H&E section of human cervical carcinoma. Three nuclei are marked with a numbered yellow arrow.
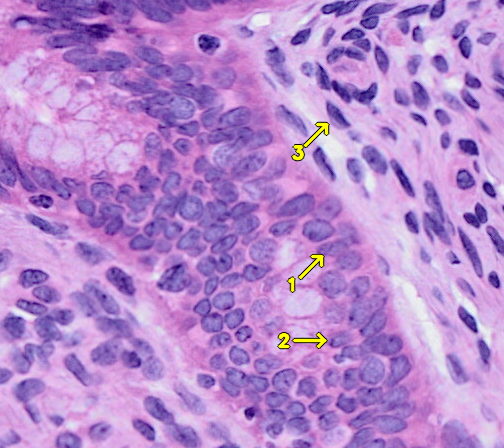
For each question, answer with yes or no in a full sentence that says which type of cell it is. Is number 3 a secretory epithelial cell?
No, number 3 does not mark a secretory epithelial cell; it marks a fibroblast.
